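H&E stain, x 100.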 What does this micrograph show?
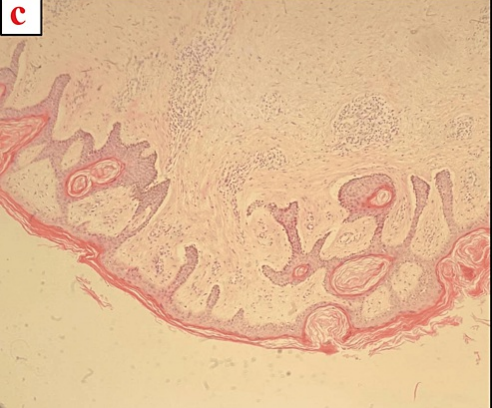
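Skin shows a thickened papillomatous epidermis. The surface undulates, and the squamous epithelium extends long, irregular, branching projections down into the dermis. A compact, bright pink layer of keratin covers the surface. Within the epithelium lie several round or oval nests of concentrically layered pink keratin. The underlying dermis is pale and fibrous, with scattered small clusters of darker inflammatory cells.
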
